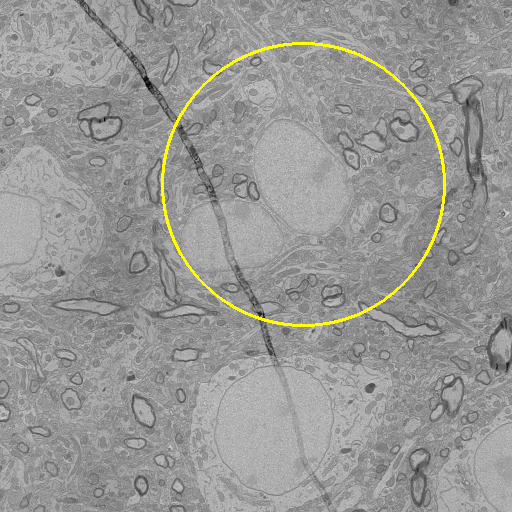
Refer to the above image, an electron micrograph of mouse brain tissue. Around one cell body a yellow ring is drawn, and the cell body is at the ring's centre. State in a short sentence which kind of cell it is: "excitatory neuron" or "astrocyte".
The centre of the ring falls on an astrocyte.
